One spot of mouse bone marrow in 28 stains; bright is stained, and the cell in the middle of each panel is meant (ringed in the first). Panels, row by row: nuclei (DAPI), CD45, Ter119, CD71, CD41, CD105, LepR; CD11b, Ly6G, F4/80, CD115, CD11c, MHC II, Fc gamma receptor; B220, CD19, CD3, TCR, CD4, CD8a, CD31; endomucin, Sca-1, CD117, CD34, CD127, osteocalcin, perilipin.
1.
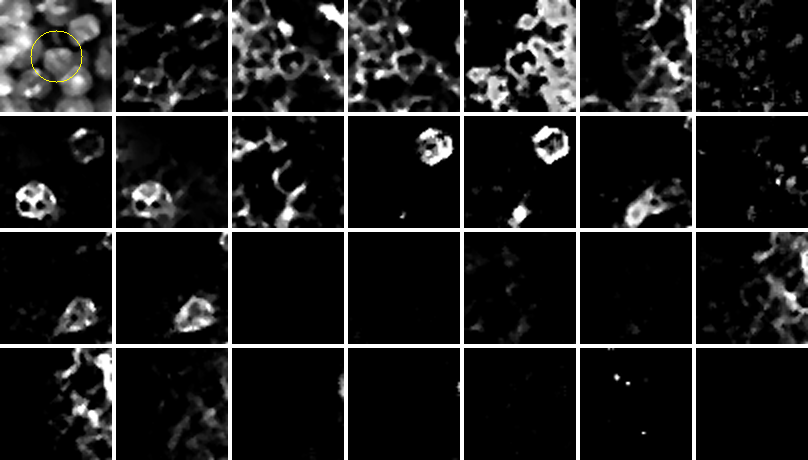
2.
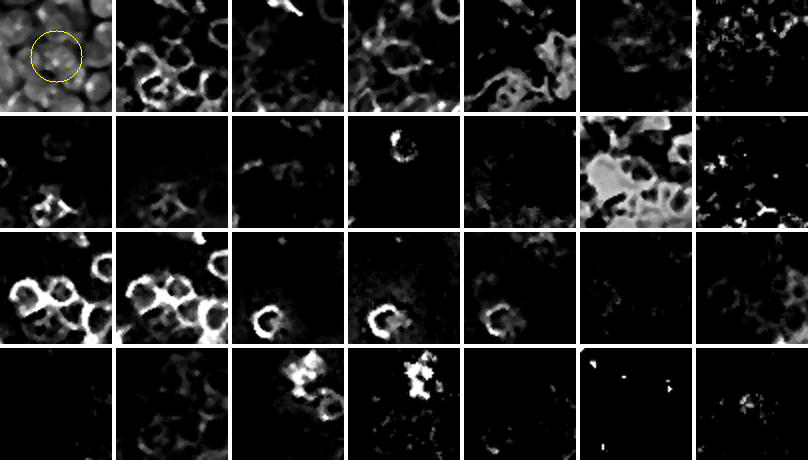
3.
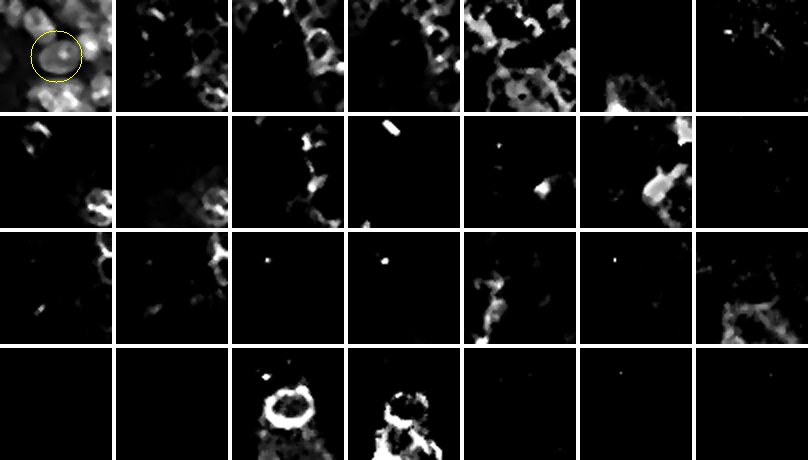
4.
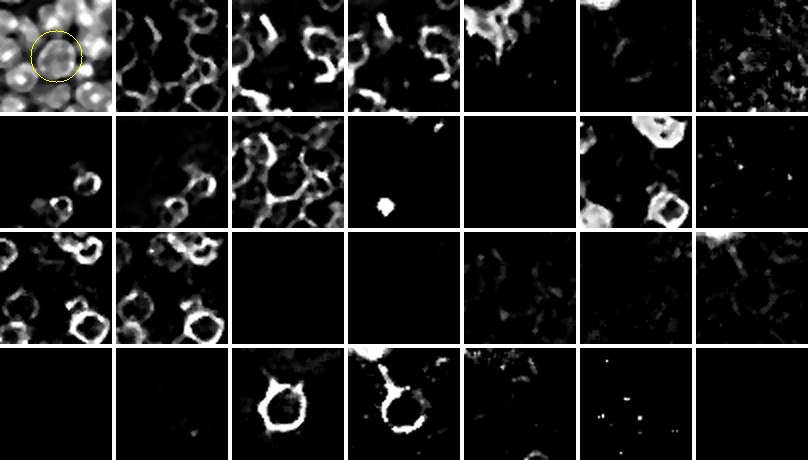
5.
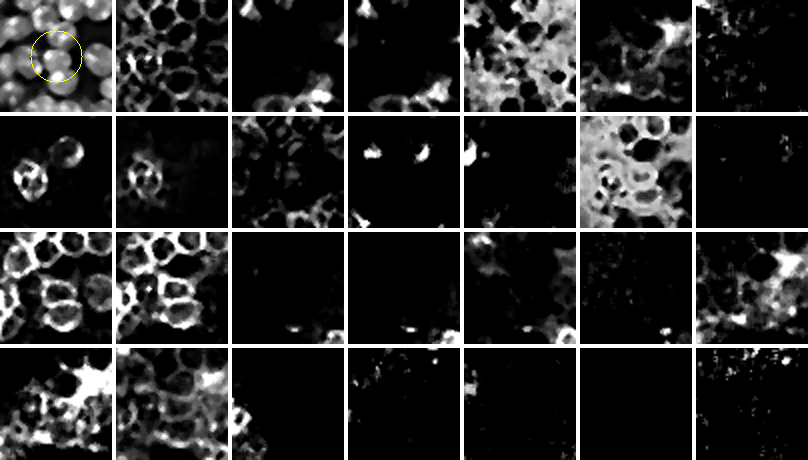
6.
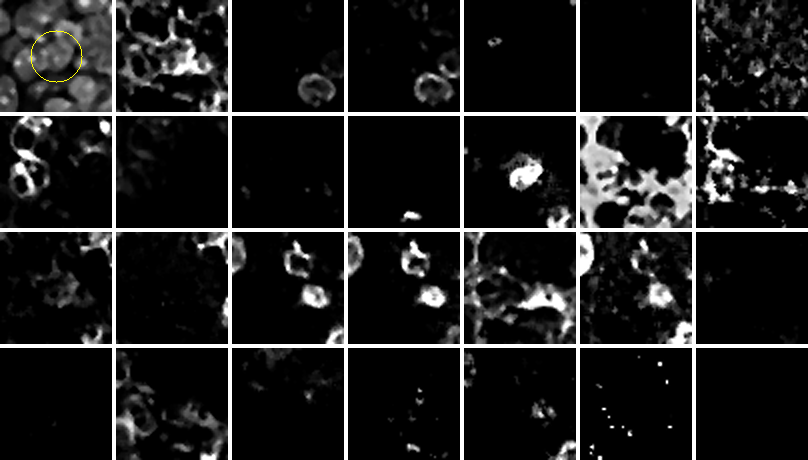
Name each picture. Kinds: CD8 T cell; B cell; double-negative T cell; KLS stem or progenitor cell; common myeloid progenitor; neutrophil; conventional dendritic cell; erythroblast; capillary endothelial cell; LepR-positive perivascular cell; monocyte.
Picture 1: erythroblast
Picture 2: B cell
Picture 3: common myeloid progenitor
Picture 4: common myeloid progenitor
Picture 5: capillary endothelial cell
Picture 6: conventional dendritic cell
